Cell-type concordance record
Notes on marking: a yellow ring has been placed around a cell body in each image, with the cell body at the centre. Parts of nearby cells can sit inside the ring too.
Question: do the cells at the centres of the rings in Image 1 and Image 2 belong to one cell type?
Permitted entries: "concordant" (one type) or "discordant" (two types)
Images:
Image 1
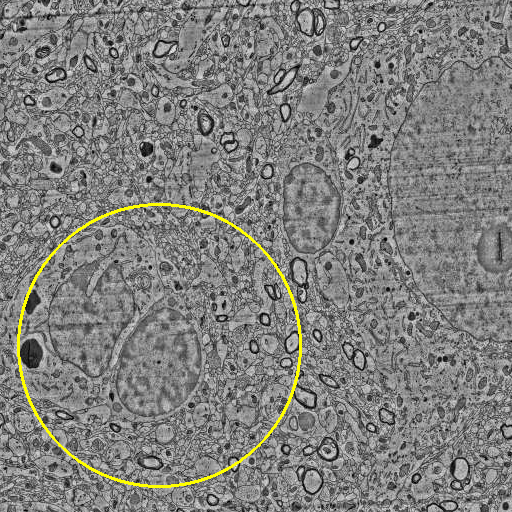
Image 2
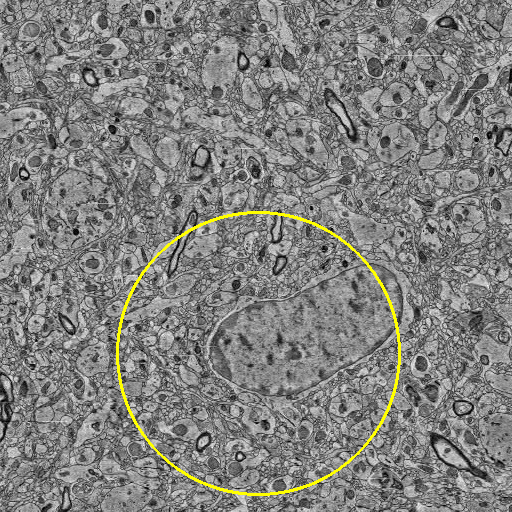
discordant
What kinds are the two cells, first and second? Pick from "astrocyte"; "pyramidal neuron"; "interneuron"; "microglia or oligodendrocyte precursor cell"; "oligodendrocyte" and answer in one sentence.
The second picture holds a microglial cell or oligodendrocyte precursor cell in its ring, and the first holds an oligodendrocyte.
